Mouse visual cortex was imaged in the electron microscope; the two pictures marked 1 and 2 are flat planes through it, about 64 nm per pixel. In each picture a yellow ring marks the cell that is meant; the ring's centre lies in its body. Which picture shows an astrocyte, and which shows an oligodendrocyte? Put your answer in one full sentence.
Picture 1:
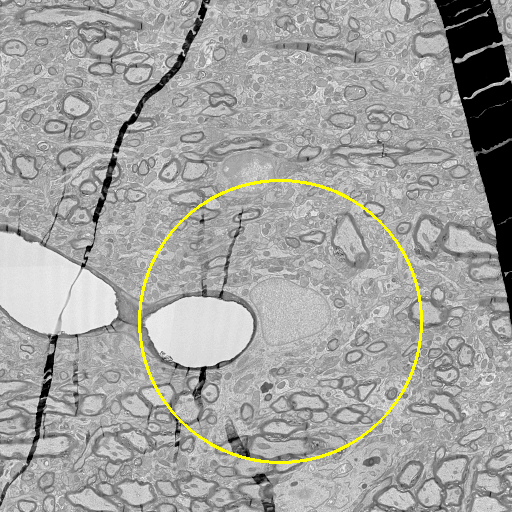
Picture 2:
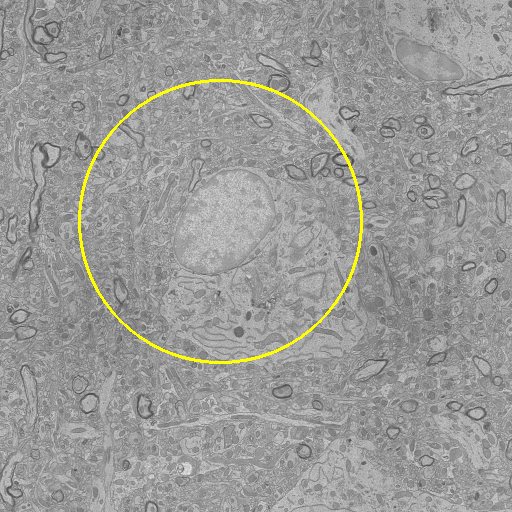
In picture 1 the cell is an astrocyte; in picture 2, an oligodendrocyte.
